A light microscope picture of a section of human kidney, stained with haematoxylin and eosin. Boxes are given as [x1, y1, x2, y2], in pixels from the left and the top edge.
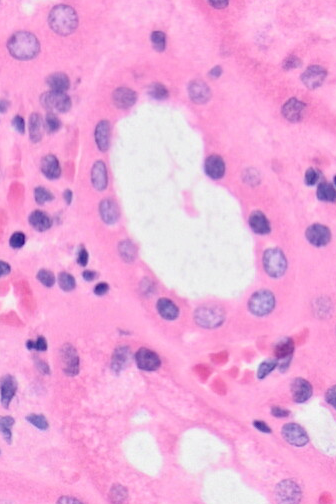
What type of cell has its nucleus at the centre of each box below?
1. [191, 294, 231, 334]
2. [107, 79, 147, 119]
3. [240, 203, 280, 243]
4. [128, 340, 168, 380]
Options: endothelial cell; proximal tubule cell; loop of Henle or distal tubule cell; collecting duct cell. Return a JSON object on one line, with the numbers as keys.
{"1": "loop of Henle or distal tubule cell", "2": "loop of Henle or distal tubule cell", "3": "loop of Henle or distal tubule cell", "4": "proximal tubule cell"}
